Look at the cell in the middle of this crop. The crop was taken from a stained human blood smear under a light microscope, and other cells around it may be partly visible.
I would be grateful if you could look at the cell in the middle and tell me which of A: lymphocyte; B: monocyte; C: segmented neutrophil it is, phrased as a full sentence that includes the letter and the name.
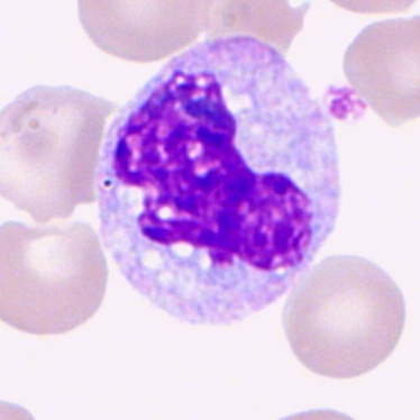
Option B is accurate; the centrally placed cell is a monocyte.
